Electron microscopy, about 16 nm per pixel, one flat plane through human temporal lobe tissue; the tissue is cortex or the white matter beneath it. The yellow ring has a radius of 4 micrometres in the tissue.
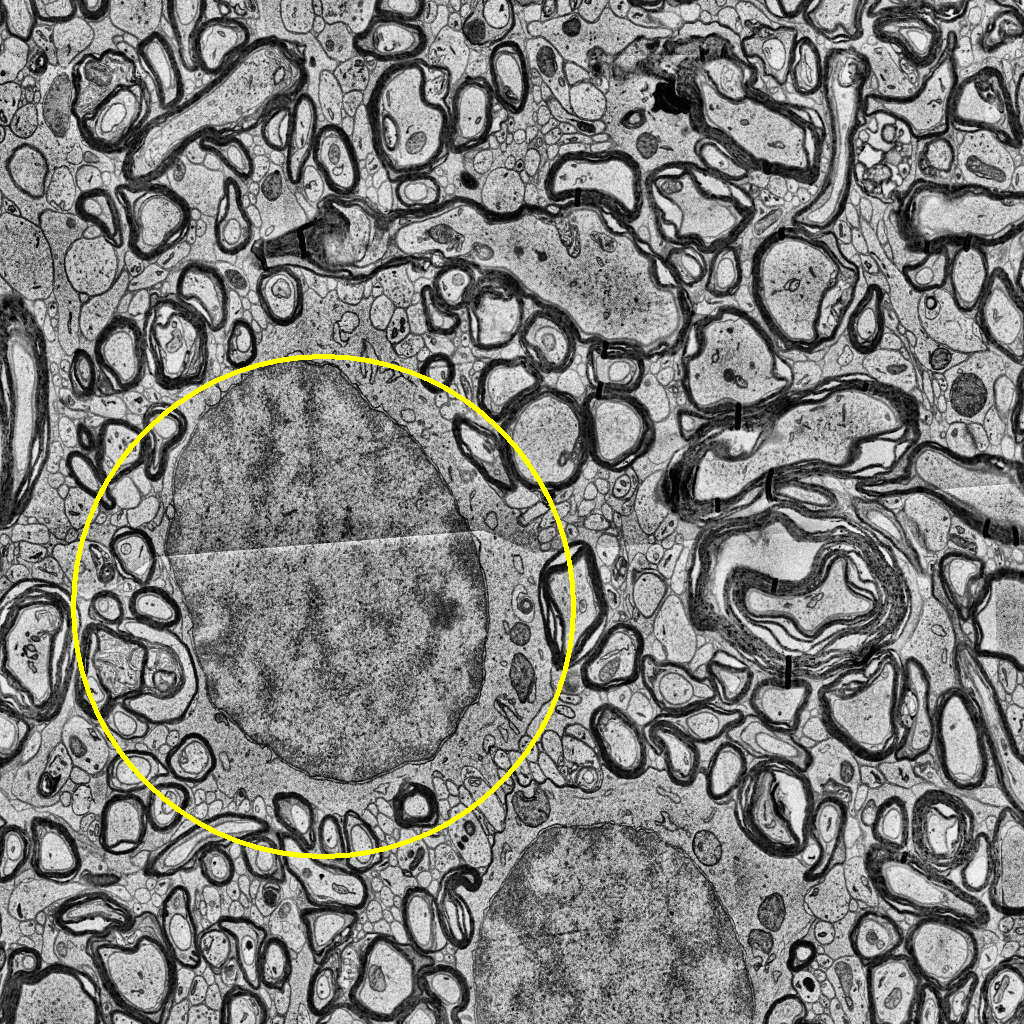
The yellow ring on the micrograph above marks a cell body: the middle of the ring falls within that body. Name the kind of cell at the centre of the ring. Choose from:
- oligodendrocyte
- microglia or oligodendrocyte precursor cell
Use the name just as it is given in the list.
oligodendrocyte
